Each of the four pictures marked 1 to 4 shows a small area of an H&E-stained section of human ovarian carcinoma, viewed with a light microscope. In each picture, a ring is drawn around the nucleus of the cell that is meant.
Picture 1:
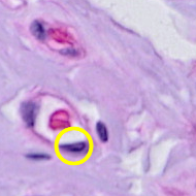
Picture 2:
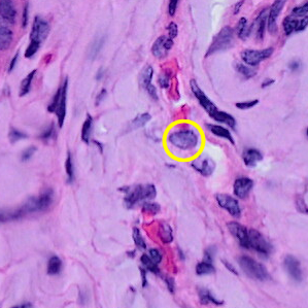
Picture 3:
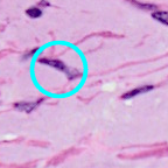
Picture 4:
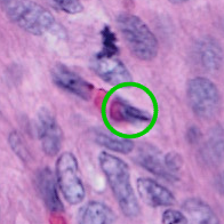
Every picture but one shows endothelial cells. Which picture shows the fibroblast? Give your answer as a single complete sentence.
The cell in picture 3 is the fibroblast.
